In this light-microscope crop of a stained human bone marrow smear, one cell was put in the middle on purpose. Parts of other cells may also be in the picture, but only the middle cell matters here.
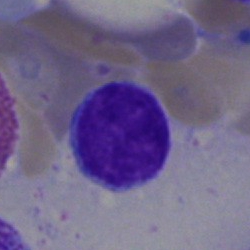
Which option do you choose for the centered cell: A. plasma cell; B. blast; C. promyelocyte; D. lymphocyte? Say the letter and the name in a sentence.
The expected answer is option D, the central cell being a lymphocyte.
